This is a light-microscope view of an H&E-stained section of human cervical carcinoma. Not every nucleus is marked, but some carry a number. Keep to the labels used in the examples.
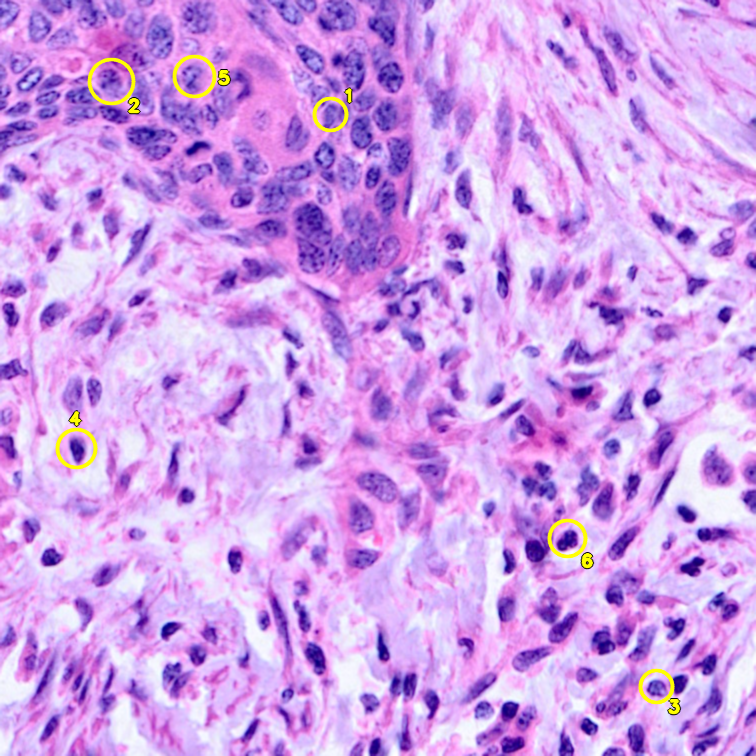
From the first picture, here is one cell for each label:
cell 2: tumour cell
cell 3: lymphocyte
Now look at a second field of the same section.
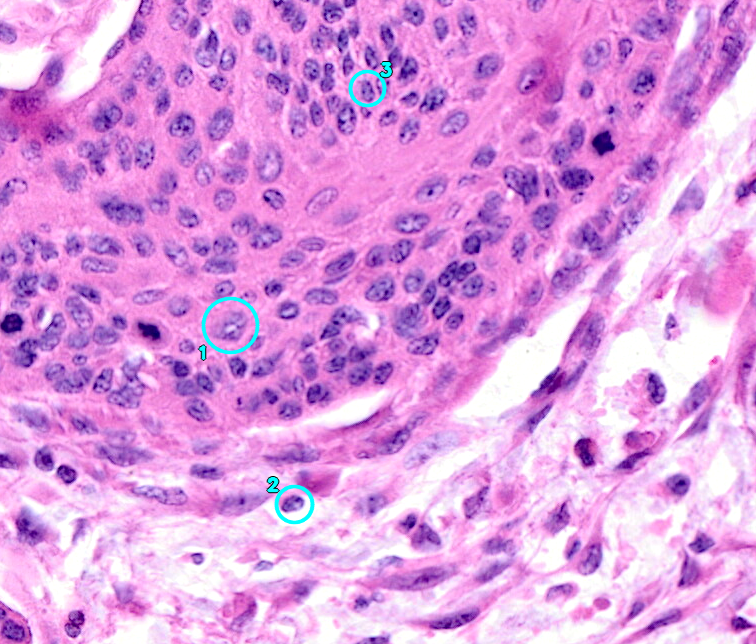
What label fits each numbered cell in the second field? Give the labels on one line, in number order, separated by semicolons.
tumour cell; lymphocyte; tumour cell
